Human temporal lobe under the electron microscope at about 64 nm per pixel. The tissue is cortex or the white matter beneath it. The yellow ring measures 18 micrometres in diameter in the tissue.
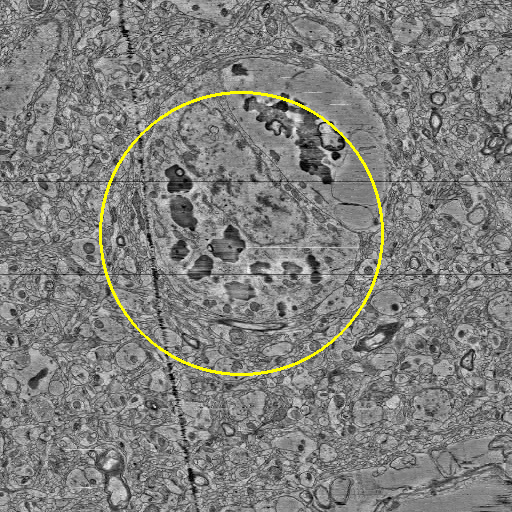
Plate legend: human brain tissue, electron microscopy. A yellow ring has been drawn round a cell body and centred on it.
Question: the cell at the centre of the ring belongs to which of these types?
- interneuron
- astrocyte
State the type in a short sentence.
The cell in the middle of the ring is an interneuron.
